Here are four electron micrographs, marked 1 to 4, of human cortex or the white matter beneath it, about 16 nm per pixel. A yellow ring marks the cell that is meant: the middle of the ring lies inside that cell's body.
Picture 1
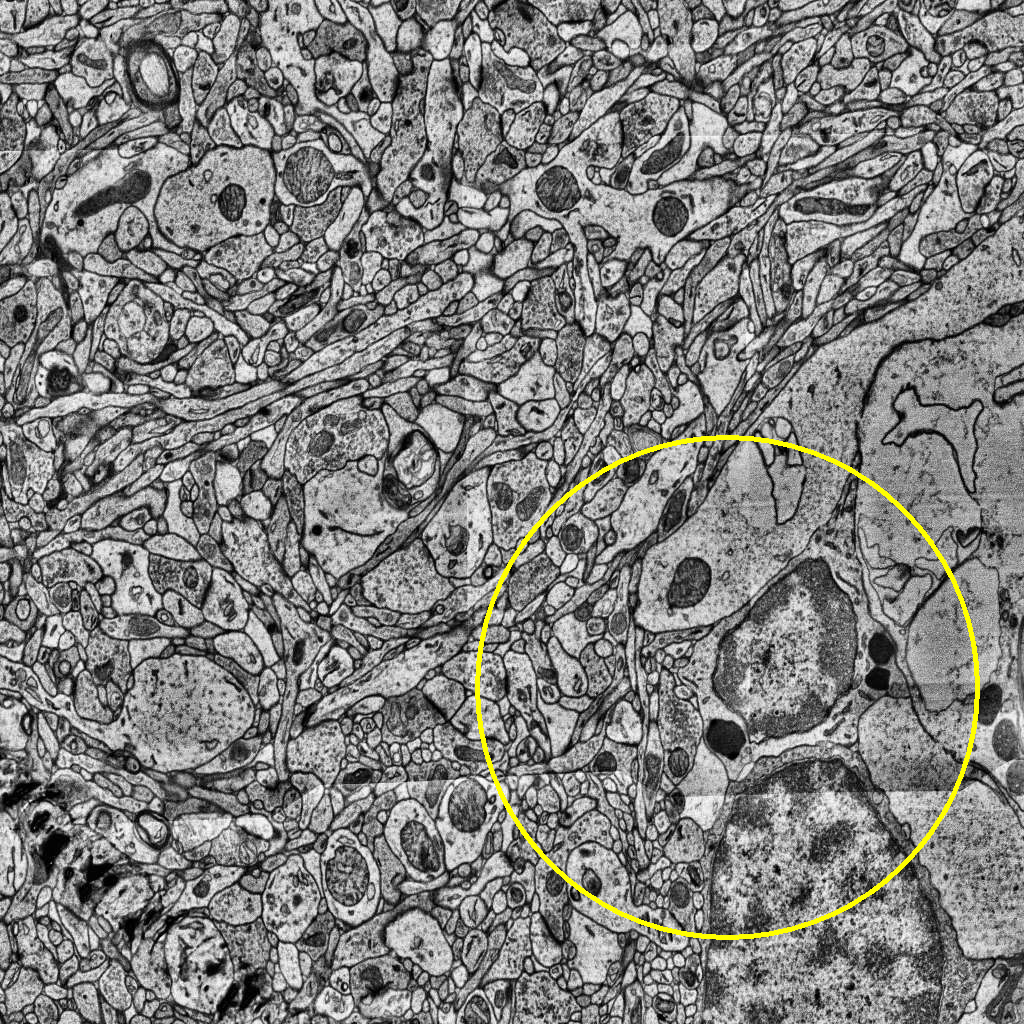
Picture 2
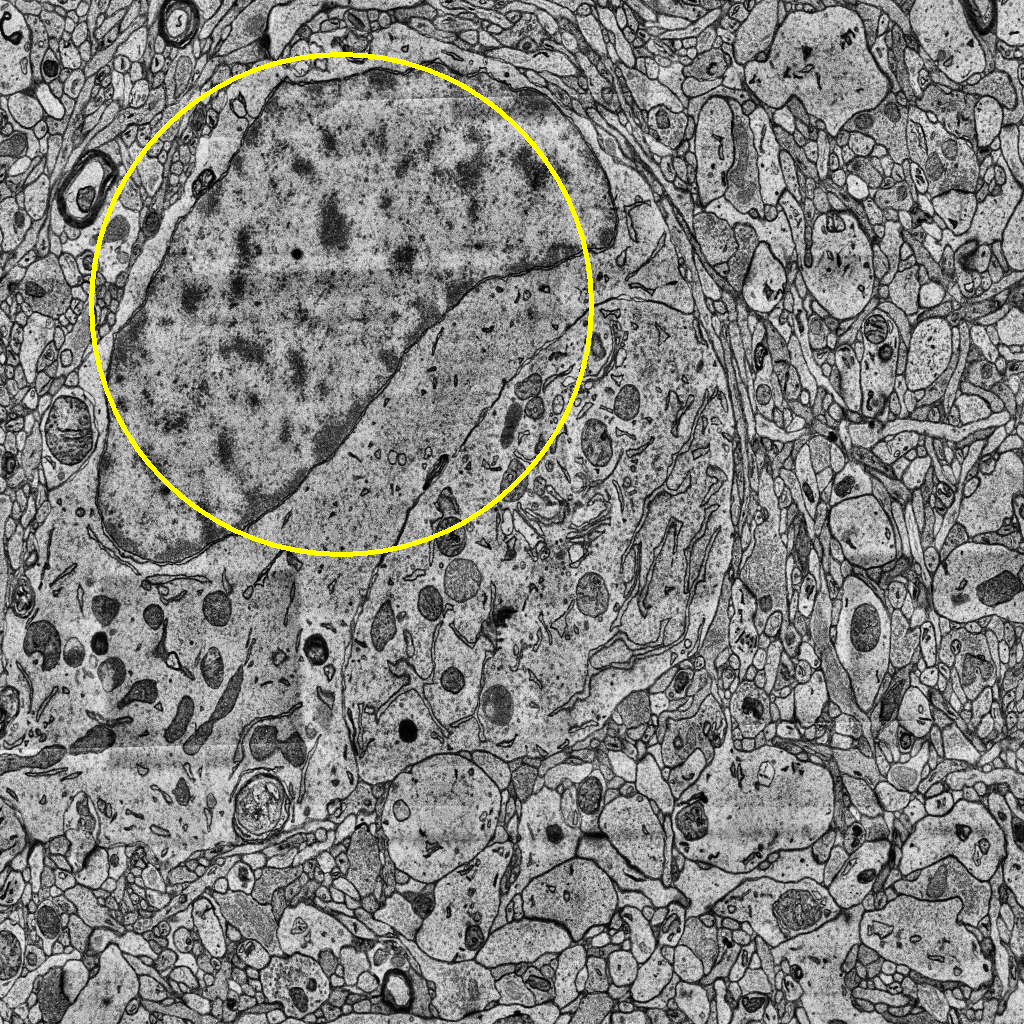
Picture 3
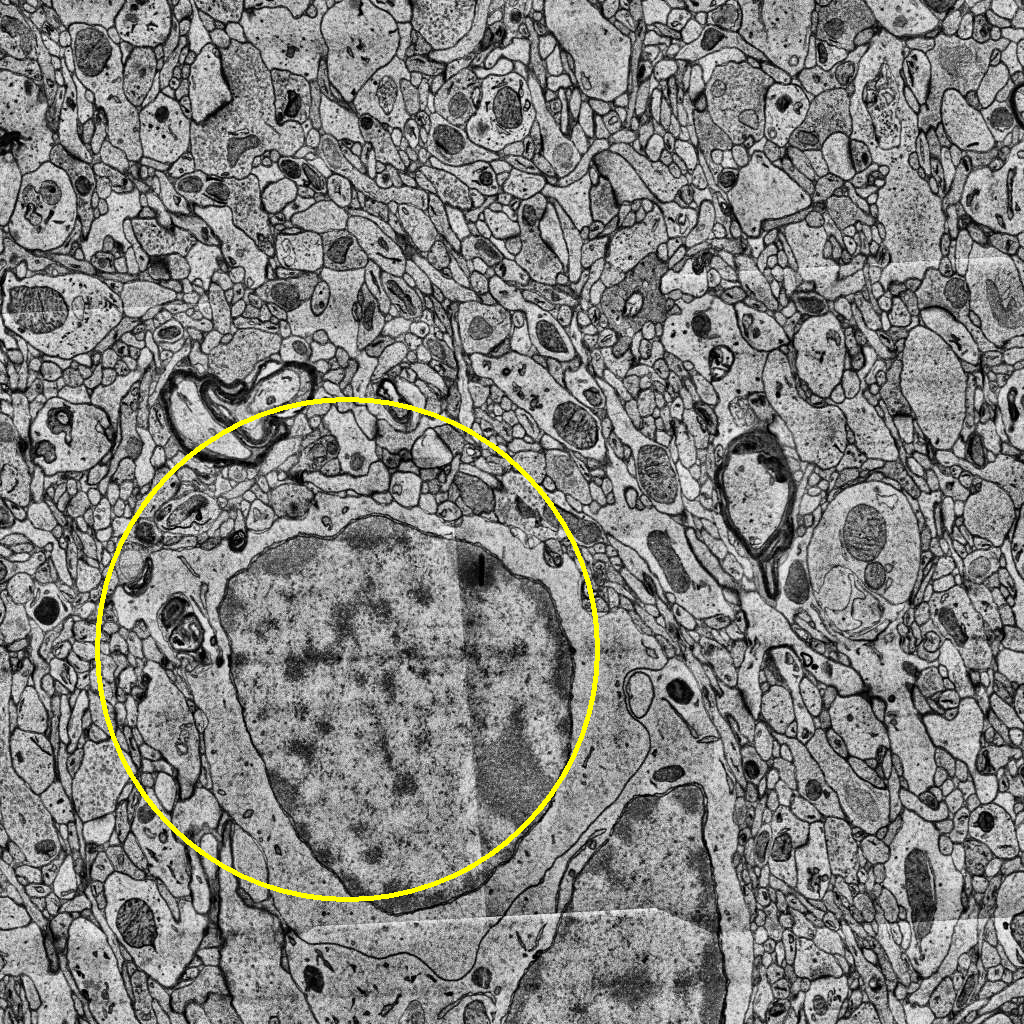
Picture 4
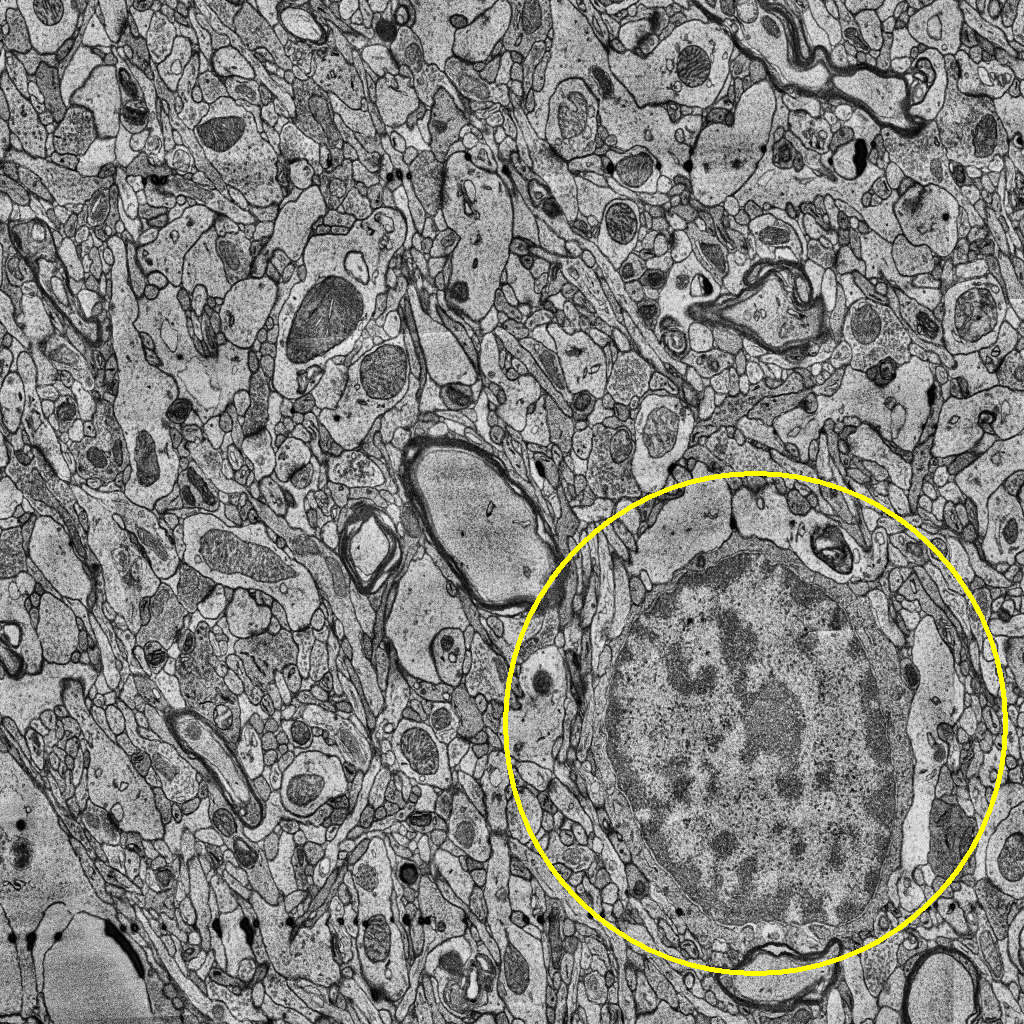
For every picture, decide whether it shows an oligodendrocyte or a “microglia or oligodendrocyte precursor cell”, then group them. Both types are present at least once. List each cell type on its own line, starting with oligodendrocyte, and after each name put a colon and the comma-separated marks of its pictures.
oligodendrocyte: 4
microglia or oligodendrocyte precursor cell: 1, 2, 3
